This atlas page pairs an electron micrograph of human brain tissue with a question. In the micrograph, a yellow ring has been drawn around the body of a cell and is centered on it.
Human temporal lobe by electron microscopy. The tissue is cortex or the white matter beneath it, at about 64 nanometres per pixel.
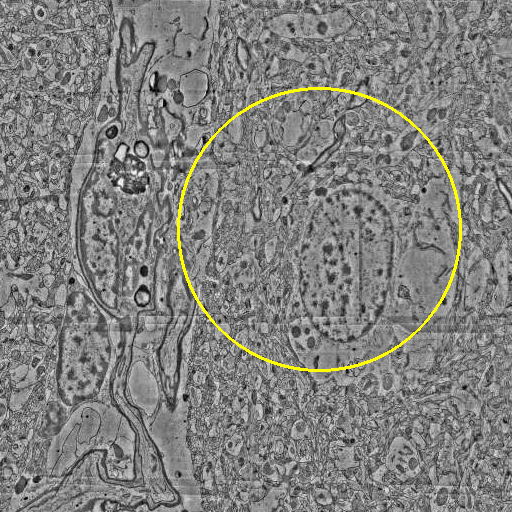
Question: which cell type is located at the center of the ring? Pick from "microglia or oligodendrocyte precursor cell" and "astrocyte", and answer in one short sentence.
Located at the center of the ring is an astrocyte.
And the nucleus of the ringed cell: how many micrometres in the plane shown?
At approximately 10 by 6 micrometres, the nucleus is clearly longer than it is wide in this plane.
